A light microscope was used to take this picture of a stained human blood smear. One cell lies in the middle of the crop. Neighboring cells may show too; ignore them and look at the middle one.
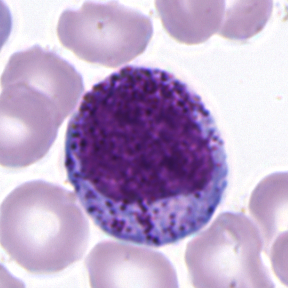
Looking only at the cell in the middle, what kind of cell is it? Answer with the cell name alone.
promyelocyte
